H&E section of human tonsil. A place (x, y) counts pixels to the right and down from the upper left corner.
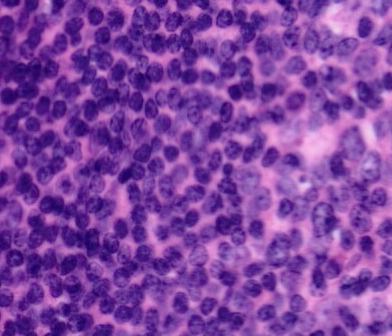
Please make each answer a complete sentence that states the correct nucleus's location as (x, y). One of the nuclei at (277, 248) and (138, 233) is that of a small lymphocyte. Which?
Of the two options, the nucleus at (138, 233) is the one that belongs to a small lymphocyte.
